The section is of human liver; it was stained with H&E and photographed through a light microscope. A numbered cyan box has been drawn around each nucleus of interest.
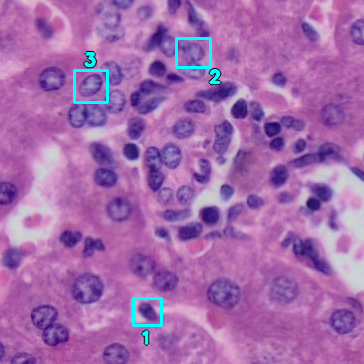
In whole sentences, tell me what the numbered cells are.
Cell 1 is a lymphocyte. Cells 2 and 3 are cholangiocytes.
